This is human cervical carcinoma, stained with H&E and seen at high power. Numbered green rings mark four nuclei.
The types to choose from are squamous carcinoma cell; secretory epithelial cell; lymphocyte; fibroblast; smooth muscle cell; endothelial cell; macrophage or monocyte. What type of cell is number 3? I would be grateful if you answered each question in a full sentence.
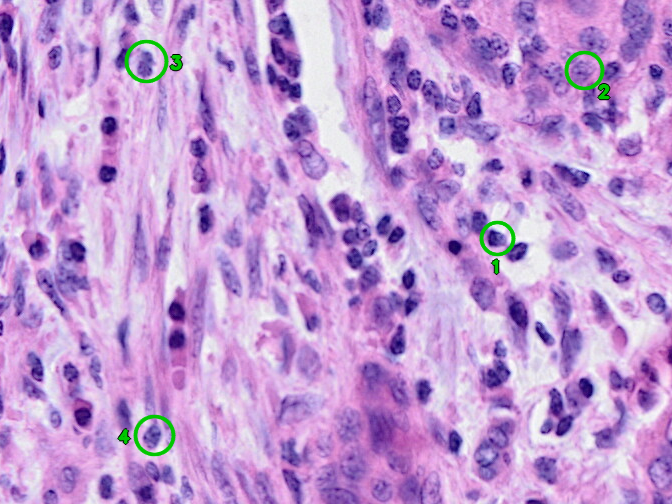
Cell 3 of the marked set is a lymphocyte.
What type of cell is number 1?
The marked cell with the number 1 is recognised as a lymphocyte.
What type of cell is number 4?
In the tissue shown, cell 4 is a lymphocyte.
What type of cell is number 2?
The nucleus labelled 2 belongs to a squamous carcinoma cell.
